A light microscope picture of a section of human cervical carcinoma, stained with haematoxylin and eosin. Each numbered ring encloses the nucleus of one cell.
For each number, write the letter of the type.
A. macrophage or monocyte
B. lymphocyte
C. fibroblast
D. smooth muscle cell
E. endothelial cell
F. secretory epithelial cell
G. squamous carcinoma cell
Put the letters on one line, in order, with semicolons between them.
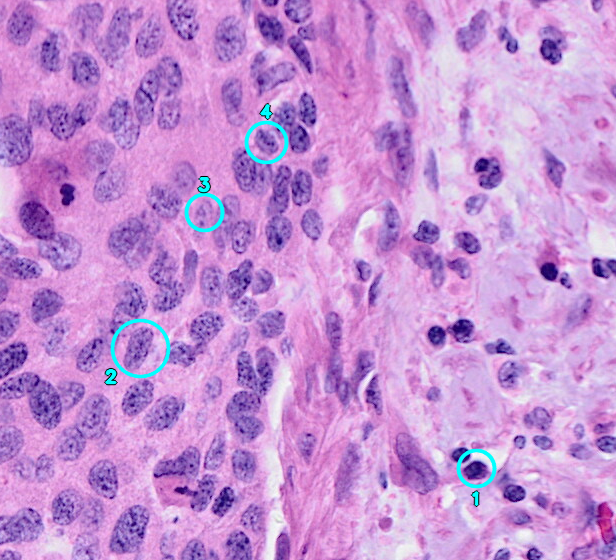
B; G; G; G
